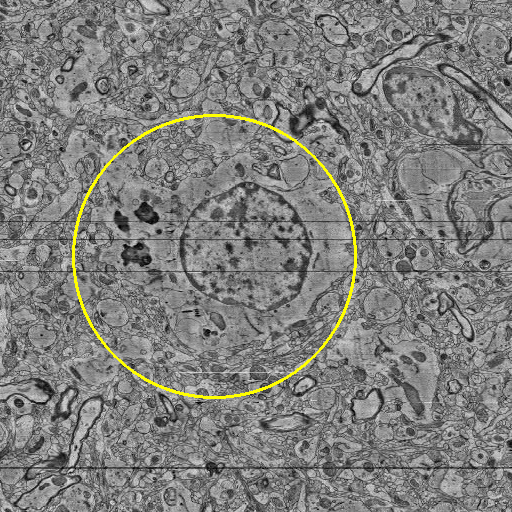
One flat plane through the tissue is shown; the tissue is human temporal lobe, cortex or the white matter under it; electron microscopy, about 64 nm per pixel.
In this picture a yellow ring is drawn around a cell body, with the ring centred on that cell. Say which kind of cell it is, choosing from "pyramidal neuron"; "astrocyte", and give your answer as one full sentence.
Here it is an astrocyte that sits at the centre of the drawn yellow ring.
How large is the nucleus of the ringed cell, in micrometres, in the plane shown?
Approximately 8 micrometres across in this plane.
